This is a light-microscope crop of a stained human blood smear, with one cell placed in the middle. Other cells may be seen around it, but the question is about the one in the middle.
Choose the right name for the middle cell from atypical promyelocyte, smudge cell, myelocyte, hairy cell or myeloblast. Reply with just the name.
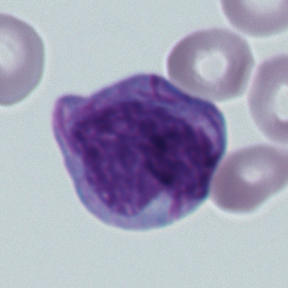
atypical promyelocyte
